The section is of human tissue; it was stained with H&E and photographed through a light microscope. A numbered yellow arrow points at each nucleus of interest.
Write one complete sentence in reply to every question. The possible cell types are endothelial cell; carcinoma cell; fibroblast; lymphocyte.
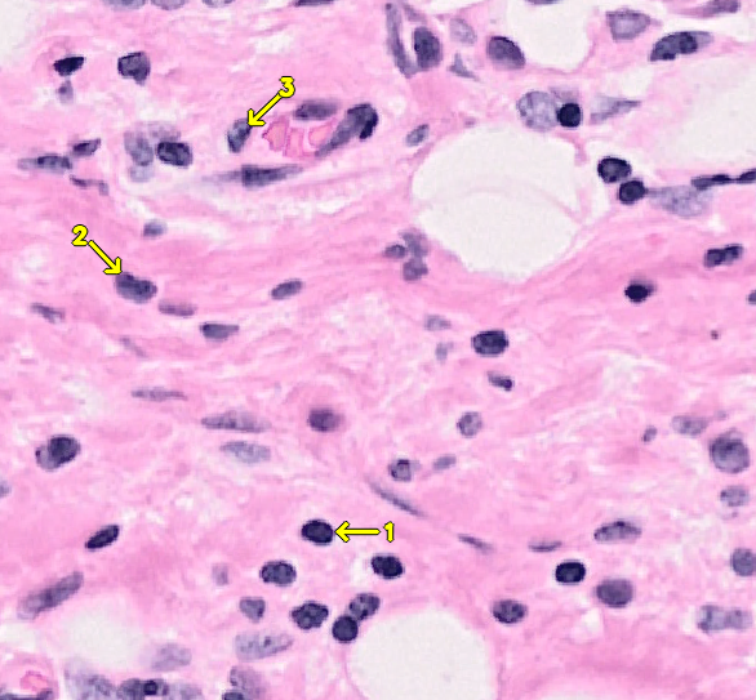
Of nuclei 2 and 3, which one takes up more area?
Nucleus 2 is larger, with an area about 2 times that of nucleus 3.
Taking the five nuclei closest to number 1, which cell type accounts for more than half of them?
Lymphocytes make up most of the five nuclei closest to number 1.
